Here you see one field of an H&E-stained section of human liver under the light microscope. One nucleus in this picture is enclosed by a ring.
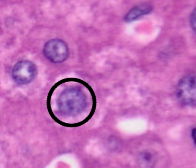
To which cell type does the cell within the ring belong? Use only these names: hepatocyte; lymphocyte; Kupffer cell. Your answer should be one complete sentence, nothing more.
The identity of the cell within the ring: it is a hepatocyte.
